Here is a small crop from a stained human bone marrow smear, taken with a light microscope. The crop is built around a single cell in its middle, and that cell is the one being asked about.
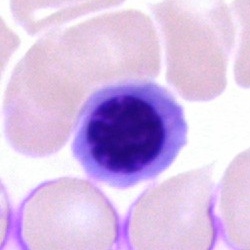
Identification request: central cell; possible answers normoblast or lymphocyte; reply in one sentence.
The cell featured at the centre of this crop is a normoblast.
